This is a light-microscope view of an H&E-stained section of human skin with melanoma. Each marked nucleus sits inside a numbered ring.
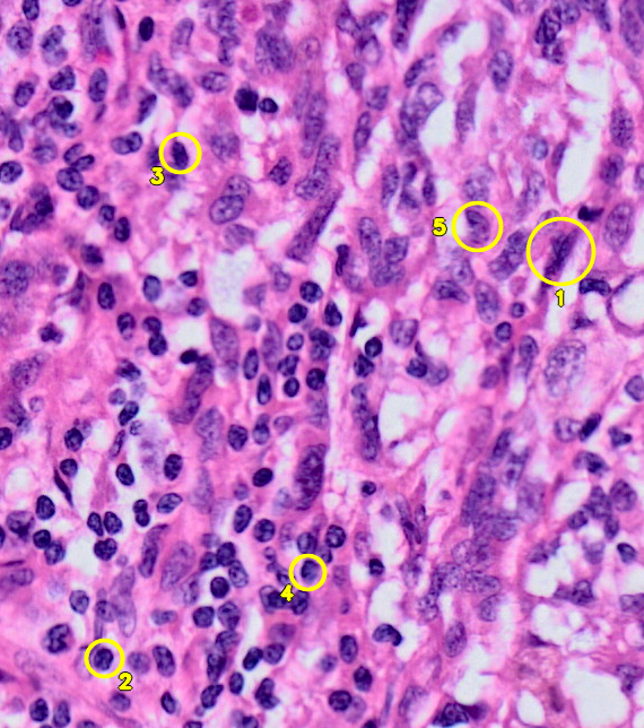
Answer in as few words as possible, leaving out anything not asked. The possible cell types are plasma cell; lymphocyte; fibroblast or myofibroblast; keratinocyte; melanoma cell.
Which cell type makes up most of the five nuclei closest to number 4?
lymphocyte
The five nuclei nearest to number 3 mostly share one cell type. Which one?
melanoma cell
